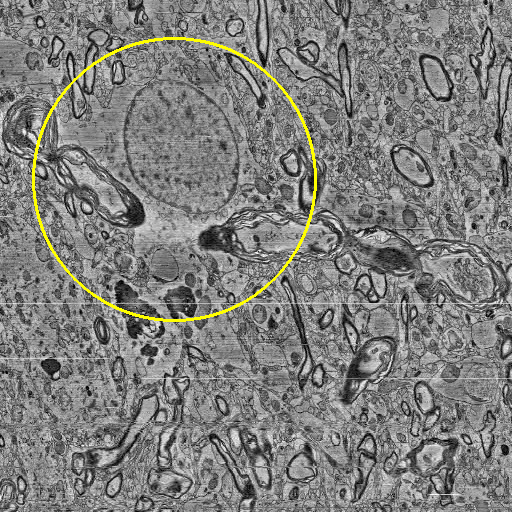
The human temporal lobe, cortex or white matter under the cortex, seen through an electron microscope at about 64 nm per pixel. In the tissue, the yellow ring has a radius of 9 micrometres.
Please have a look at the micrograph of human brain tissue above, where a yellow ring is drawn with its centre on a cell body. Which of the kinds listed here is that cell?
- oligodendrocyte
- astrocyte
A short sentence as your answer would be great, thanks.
At the centre of the ring sits an astrocyte.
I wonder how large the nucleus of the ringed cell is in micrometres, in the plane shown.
In this plane the nucleus is about 9 micrometres by 7.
